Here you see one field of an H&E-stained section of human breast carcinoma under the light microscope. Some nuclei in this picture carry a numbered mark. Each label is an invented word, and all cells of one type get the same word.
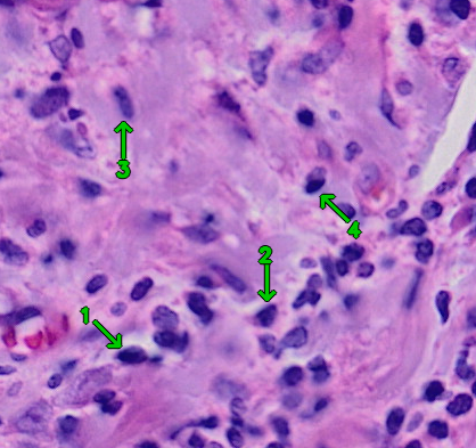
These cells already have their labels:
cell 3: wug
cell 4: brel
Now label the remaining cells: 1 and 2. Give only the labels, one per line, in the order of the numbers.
brel
brel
